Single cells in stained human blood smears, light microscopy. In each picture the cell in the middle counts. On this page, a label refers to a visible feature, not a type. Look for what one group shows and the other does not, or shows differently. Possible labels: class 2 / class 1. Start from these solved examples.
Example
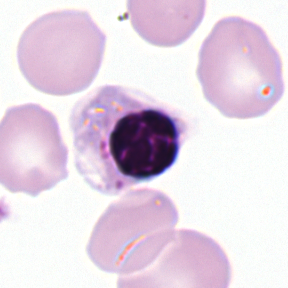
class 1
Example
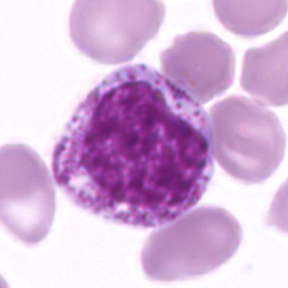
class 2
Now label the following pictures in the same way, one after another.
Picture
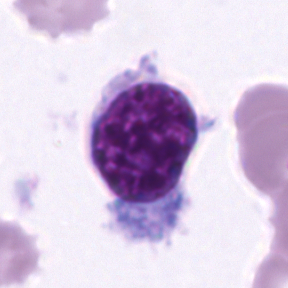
class 2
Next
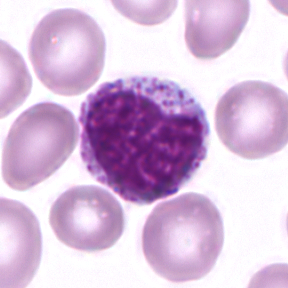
class 2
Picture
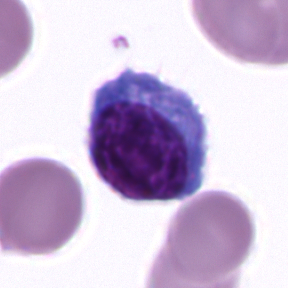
class 1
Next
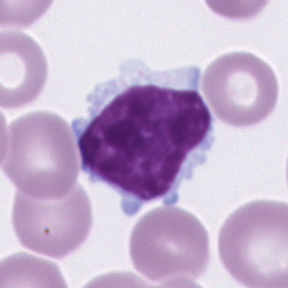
class 2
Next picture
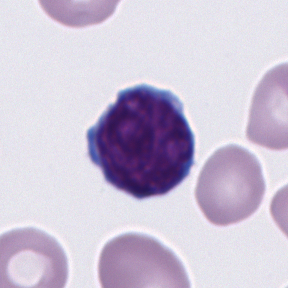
class 2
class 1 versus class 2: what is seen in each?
Seen in class 1: abundant cytoplasm; seen in class 2: scant cytoplasm.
